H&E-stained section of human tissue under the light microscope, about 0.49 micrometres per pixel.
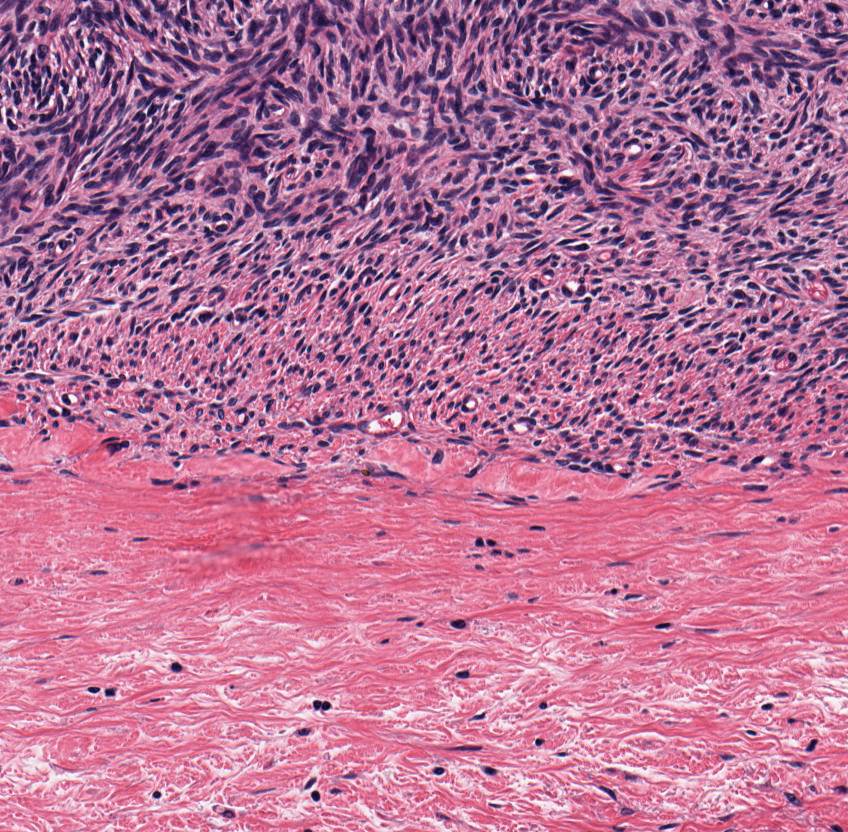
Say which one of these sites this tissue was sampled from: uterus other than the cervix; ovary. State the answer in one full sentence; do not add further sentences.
The tissue on this slide is from the ovary.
